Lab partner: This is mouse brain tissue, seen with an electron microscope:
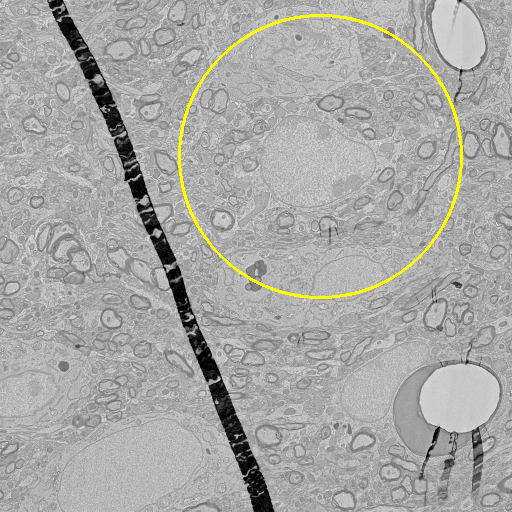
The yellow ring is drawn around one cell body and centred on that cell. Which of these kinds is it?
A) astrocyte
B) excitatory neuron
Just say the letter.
A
